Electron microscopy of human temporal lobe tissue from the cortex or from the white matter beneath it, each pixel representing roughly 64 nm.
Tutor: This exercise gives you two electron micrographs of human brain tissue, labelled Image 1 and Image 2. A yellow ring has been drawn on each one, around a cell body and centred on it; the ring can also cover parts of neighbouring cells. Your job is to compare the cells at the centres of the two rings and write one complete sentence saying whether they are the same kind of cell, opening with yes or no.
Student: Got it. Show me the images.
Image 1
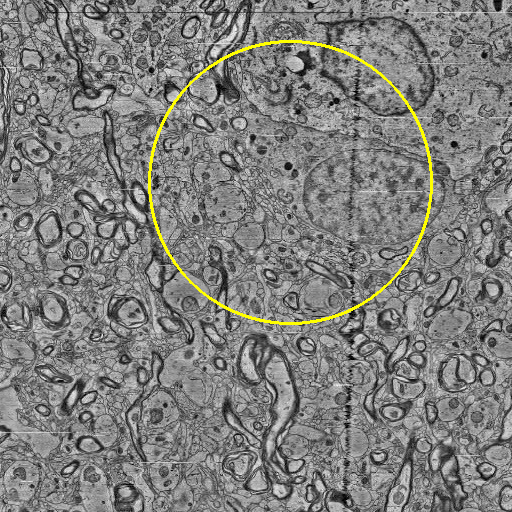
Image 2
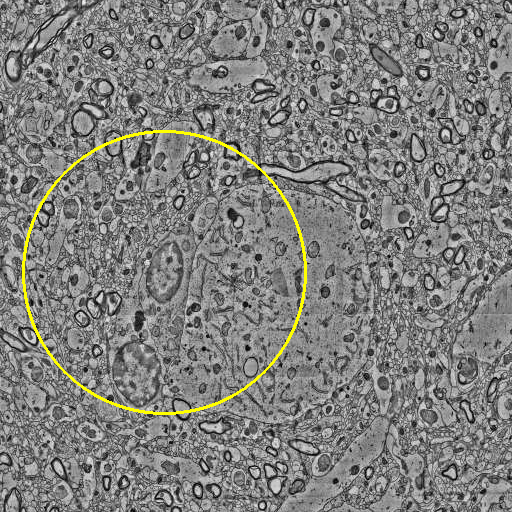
Yes, the two cells belong to the same kind.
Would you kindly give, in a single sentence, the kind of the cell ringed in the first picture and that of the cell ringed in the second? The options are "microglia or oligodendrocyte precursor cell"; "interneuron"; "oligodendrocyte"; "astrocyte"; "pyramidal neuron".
In the first picture and in the second, the ring is centred on an oligodendrocyte.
